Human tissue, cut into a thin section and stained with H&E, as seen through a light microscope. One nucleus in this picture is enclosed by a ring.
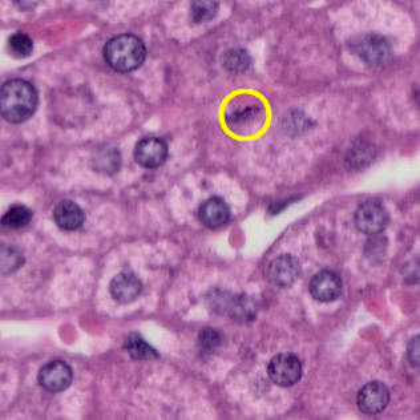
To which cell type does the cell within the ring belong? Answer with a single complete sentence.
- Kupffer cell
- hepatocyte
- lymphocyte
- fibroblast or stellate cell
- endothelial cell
The identity of the cell within the ring is that of an endothelial cell.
